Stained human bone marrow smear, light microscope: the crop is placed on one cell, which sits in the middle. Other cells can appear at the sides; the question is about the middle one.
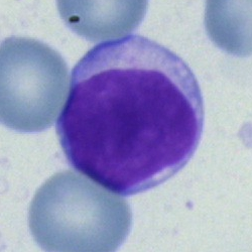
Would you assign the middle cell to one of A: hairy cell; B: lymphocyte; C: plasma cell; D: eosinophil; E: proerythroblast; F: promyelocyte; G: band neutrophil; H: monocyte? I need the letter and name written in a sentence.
The cell in the middle is a lymphocyte, and so option B is correct.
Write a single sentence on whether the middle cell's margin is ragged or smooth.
Its outline is smooth, with no projections anywhere along the edge.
